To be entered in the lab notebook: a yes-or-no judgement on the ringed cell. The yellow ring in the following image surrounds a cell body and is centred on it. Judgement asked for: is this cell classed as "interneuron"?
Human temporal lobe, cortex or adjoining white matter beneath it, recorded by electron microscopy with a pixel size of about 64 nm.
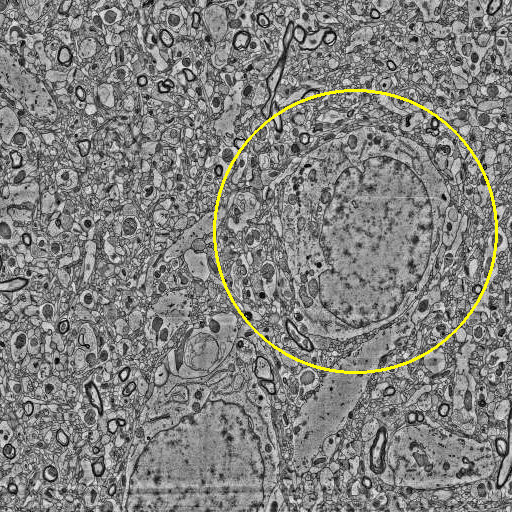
Yes, it is classed that way.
